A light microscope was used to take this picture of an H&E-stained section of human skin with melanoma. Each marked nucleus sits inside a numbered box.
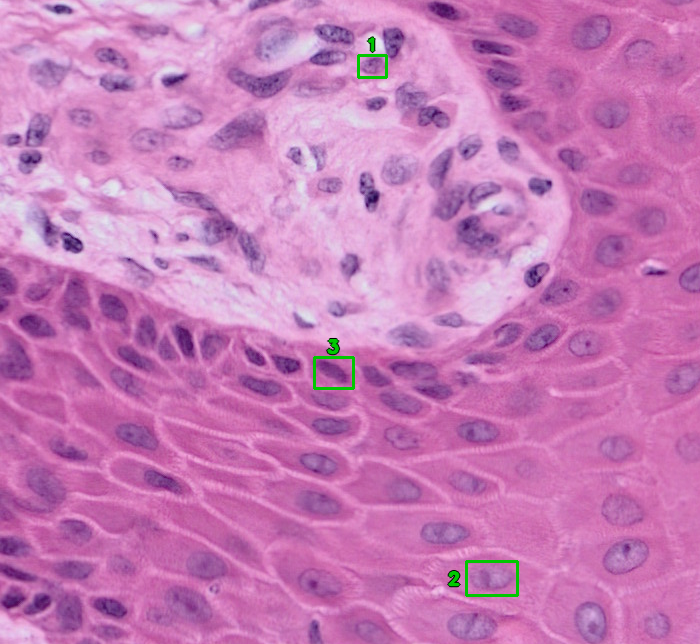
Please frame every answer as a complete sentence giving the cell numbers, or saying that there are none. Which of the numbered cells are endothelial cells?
Only the cell numbered 1 qualifies as an endothelial cell among the marked cells.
